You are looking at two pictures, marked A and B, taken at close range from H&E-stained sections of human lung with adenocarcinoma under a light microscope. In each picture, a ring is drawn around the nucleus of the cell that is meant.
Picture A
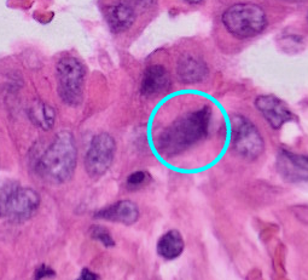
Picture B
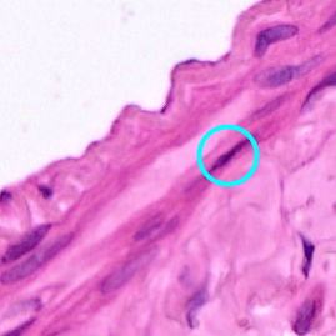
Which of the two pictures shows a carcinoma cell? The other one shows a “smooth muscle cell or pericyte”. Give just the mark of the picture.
A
